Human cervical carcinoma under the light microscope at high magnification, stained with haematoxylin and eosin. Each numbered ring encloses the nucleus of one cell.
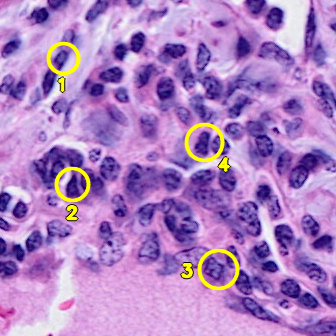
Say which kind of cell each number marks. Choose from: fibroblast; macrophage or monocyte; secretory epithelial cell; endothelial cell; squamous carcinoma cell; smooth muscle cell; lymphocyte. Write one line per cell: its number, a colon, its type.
1: lymphocyte
2: lymphocyte
3: endothelial cell
4: lymphocyte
